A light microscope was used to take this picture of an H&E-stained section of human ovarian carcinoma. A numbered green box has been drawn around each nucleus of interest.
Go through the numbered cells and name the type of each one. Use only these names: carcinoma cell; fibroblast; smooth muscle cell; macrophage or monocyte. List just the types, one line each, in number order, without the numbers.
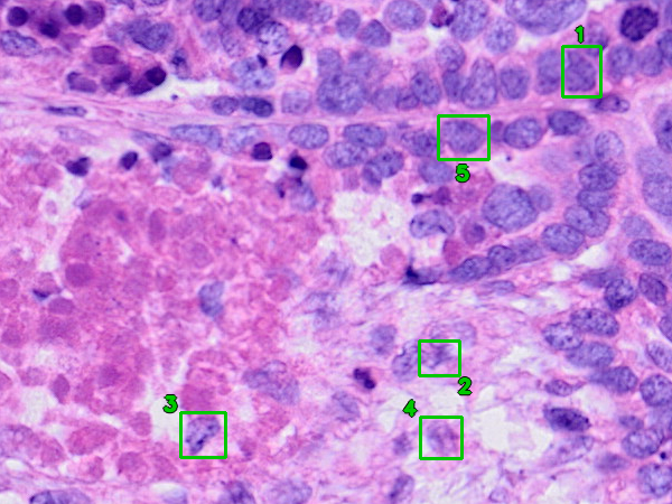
carcinoma cell
fibroblast
macrophage or monocyte
fibroblast
carcinoma cell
